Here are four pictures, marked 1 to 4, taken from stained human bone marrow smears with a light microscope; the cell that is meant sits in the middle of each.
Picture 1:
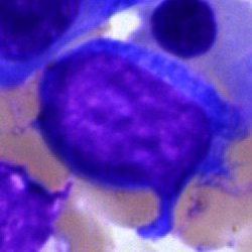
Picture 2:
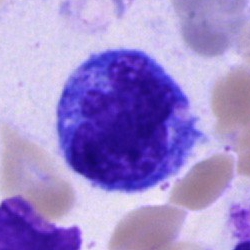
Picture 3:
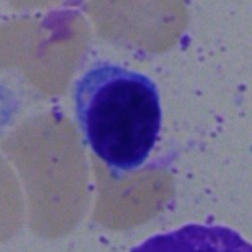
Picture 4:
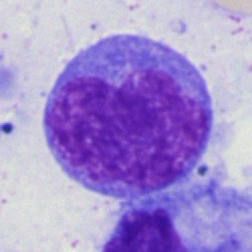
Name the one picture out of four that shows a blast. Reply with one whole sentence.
It is picture 1 that shows the blast.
